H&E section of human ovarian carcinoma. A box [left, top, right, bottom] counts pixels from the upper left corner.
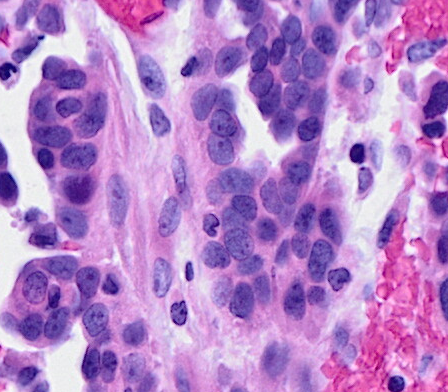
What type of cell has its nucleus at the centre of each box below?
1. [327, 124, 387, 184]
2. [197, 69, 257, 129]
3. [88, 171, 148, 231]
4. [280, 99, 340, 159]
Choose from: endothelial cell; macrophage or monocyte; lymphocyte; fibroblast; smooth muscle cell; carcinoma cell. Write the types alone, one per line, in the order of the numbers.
lymphocyte
carcinoma cell
fibroblast
carcinoma cell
